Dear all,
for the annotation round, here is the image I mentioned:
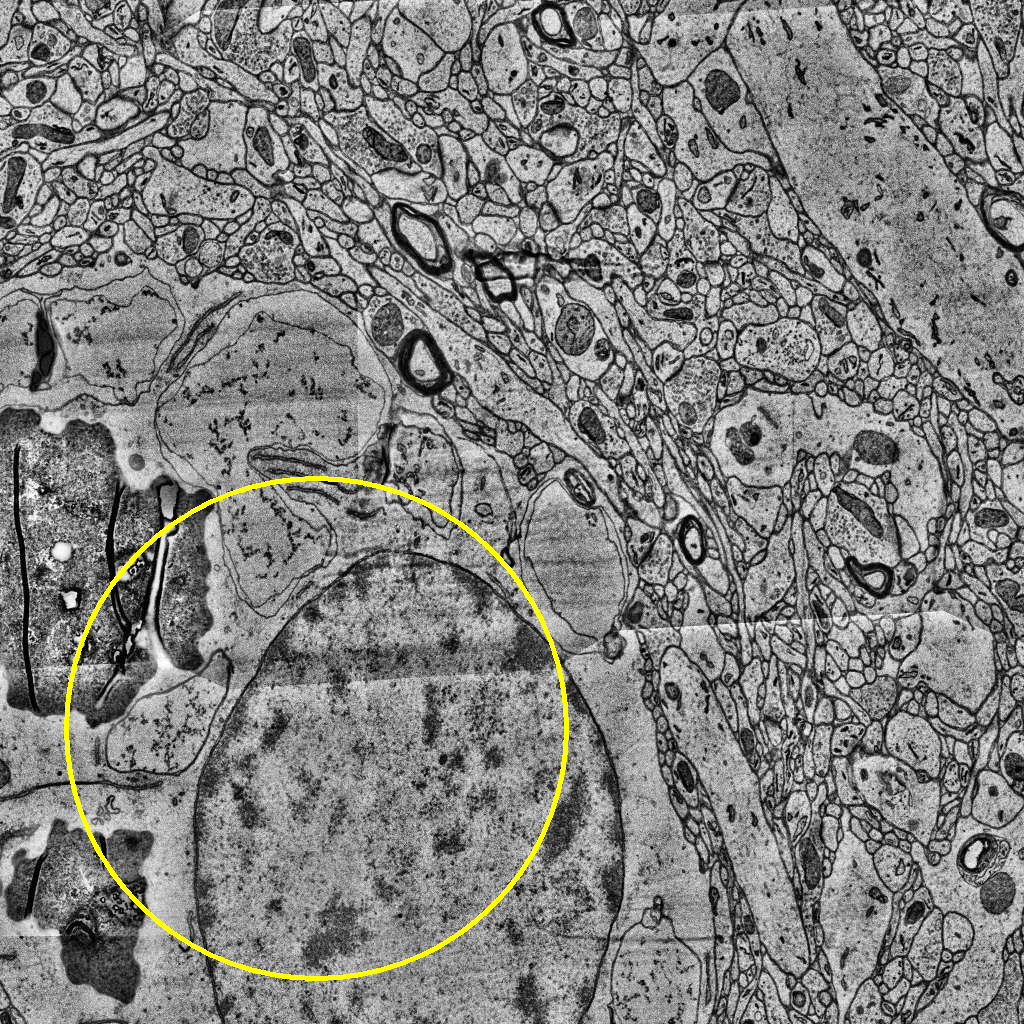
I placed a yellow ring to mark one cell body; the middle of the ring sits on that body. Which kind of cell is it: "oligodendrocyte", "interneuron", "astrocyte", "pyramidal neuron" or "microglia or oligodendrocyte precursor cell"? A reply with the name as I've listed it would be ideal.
astrocyte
